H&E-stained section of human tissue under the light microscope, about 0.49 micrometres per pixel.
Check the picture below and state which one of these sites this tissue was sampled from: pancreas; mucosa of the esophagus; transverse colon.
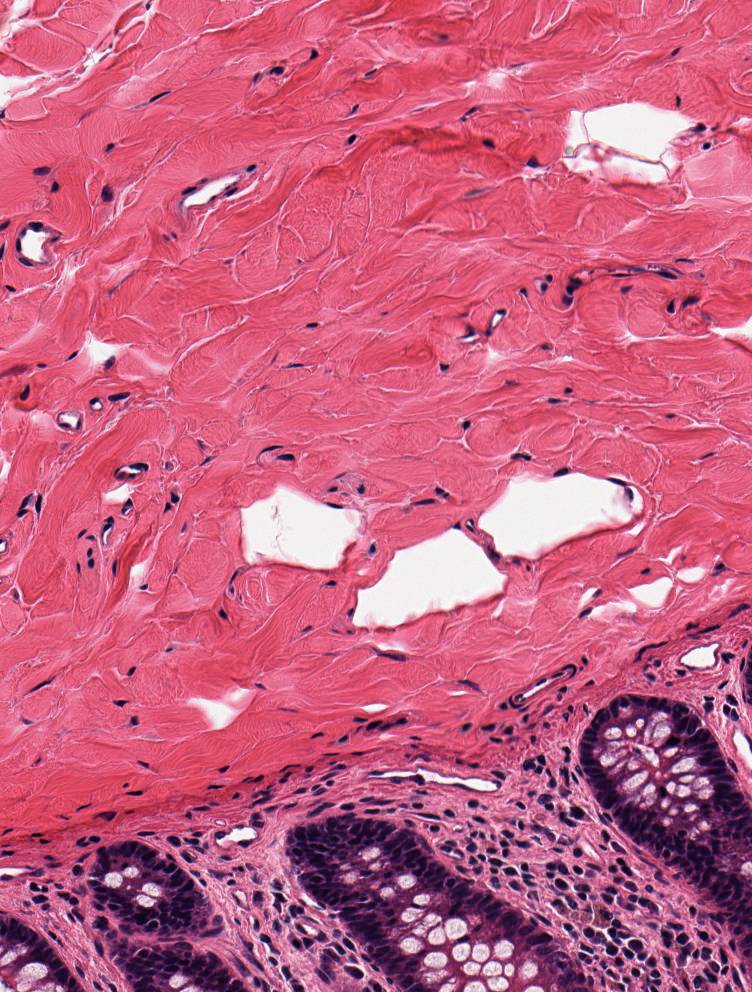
transverse colon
